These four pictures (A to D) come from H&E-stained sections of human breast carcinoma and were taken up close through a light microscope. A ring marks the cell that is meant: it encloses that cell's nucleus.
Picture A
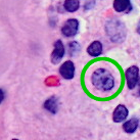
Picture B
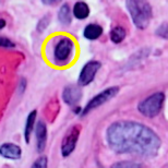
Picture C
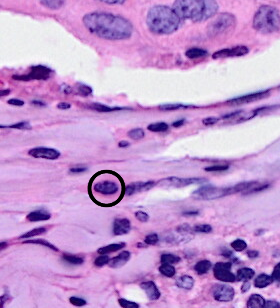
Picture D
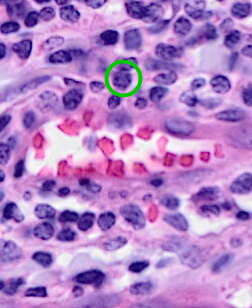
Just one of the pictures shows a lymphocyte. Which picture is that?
D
